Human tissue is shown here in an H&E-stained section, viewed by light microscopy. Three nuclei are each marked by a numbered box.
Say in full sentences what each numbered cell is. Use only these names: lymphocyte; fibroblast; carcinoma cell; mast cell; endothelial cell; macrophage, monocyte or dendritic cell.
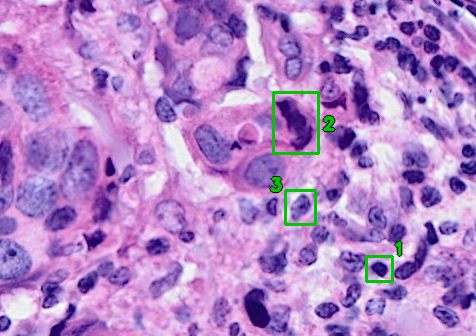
Cell 1 is a lymphocyte, cell 2 is a carcinoma cell and cell 3 is a lymphocyte.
